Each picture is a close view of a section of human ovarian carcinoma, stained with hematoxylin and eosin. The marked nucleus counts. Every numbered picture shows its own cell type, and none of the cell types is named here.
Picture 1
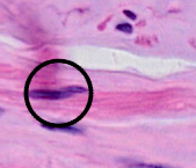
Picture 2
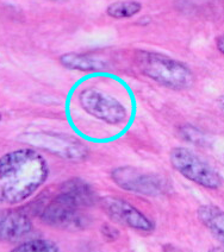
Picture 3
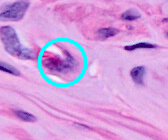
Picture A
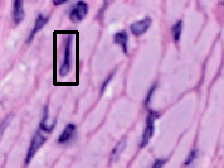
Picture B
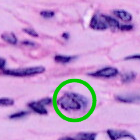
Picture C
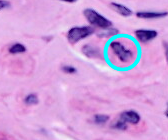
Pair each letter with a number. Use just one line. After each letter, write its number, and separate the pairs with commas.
A 2, B 3, C 3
